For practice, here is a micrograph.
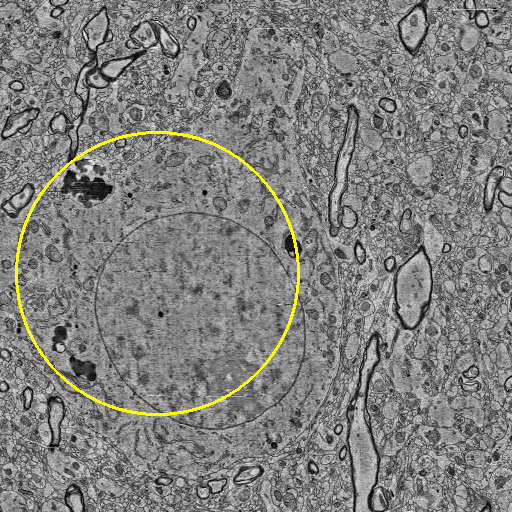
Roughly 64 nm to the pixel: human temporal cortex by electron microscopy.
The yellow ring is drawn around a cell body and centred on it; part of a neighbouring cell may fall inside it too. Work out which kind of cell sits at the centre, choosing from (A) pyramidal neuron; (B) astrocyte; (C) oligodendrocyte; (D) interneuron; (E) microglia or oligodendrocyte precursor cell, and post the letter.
A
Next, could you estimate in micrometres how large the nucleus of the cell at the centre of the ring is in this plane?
The nucleus measures about 15 by 13 micrometres in this plane.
